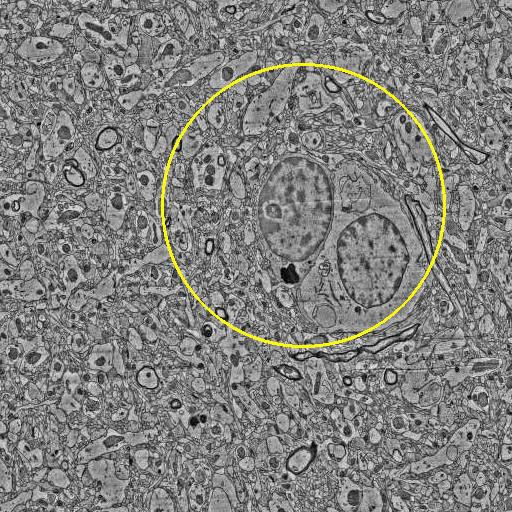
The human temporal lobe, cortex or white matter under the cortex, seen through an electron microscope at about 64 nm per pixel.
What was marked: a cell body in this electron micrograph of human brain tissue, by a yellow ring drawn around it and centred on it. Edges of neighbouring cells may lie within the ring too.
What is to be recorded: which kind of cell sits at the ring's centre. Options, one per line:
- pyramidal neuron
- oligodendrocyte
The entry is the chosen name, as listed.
oligodendrocyte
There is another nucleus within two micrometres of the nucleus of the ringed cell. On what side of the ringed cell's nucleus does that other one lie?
The second nucleus is to the lower right of it.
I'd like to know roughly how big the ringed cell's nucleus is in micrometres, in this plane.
In this plane the nucleus is about 7 micrometres by 5.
